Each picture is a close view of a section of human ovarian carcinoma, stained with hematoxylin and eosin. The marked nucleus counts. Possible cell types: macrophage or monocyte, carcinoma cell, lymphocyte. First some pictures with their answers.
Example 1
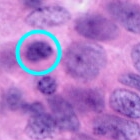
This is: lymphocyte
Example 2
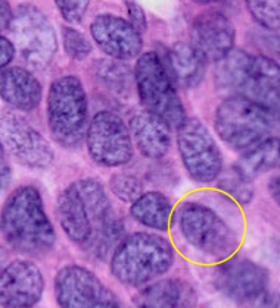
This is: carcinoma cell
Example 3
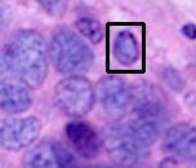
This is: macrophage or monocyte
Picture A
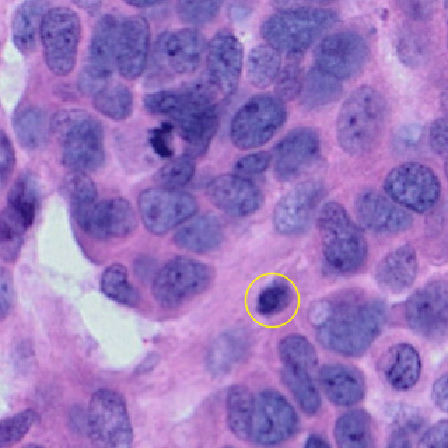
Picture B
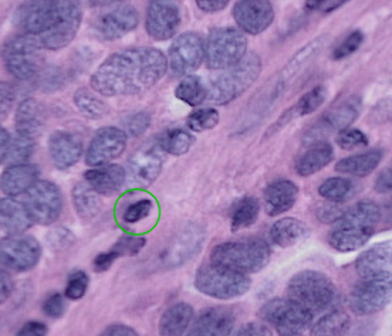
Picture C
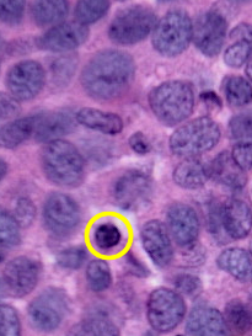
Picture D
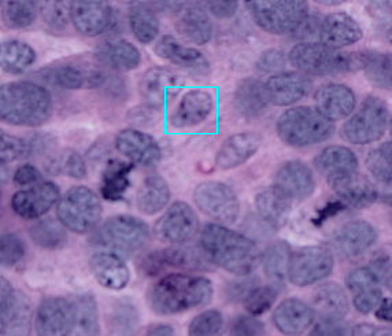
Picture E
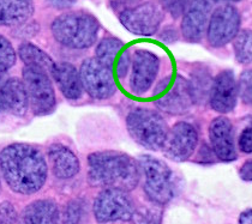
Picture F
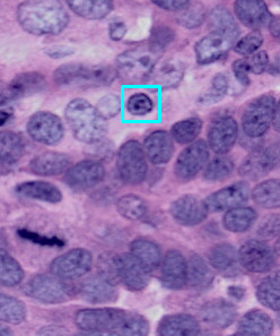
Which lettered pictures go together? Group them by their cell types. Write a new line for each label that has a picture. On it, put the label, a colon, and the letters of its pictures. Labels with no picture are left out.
macrophage or monocyte: D
carcinoma cell: E
lymphocyte: A, B, C, F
